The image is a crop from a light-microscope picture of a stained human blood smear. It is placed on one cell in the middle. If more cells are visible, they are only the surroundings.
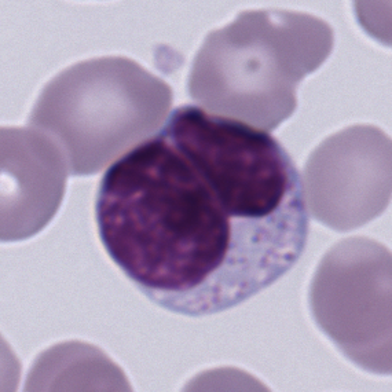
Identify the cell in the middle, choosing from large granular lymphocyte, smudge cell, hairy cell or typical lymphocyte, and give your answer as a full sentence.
The cell centered in this field of view is a large granular lymphocyte.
